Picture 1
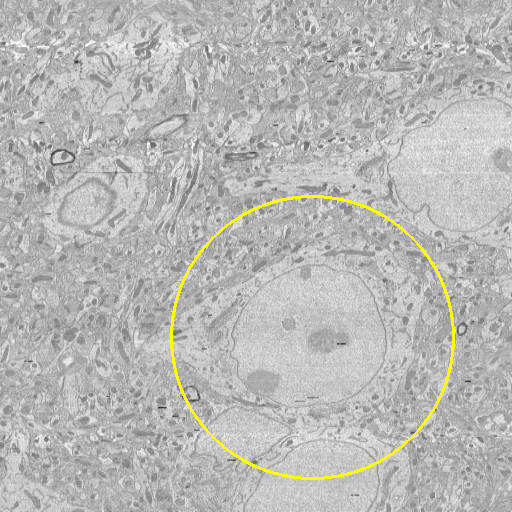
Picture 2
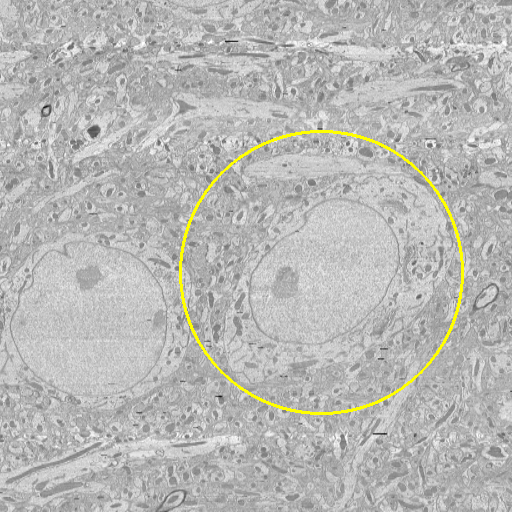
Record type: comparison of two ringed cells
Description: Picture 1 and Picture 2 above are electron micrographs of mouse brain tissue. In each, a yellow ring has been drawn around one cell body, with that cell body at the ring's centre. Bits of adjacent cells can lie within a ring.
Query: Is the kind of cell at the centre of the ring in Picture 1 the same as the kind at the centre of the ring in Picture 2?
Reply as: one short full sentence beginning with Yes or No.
Yes, the two ringed cells are of the same kind.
